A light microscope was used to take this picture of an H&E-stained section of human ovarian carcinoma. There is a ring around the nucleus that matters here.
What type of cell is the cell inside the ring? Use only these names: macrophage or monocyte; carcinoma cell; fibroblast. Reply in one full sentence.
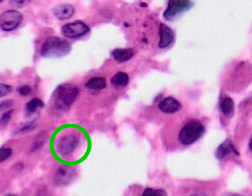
Speaking plainly, the cell inside the ring is nothing other than a macrophage or monocyte.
